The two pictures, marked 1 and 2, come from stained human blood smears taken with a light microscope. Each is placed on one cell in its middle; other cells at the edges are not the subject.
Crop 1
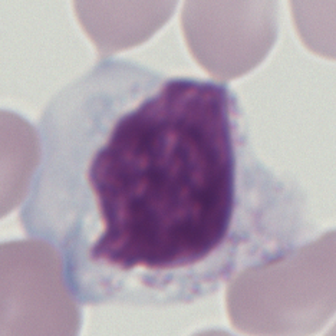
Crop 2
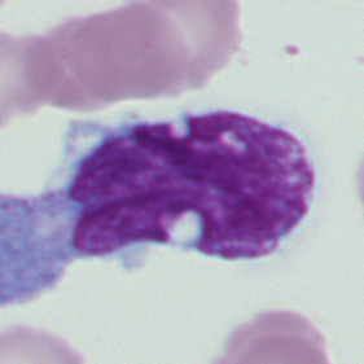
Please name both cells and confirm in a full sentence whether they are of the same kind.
No, a large granular lymphocyte lies at the centre of crop 1, and a monocyte lies at the centre of crop 2.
